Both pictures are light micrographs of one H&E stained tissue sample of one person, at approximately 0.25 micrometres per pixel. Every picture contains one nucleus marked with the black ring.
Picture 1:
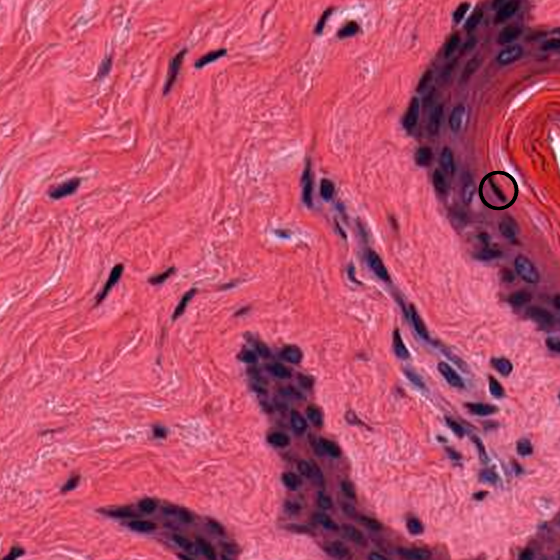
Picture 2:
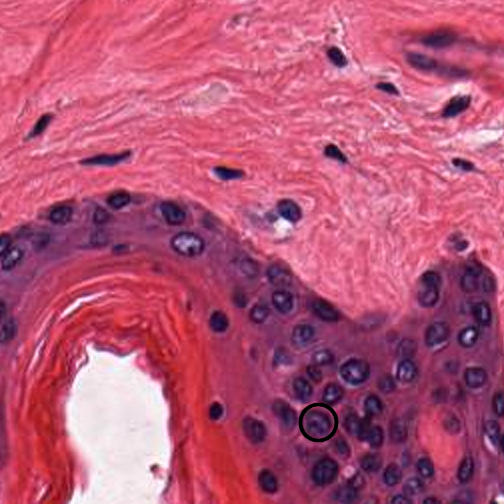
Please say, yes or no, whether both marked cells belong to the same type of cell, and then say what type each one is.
Yes, both are keratinocytes.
